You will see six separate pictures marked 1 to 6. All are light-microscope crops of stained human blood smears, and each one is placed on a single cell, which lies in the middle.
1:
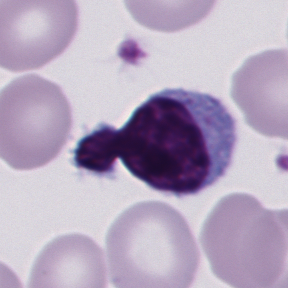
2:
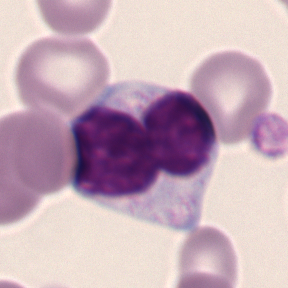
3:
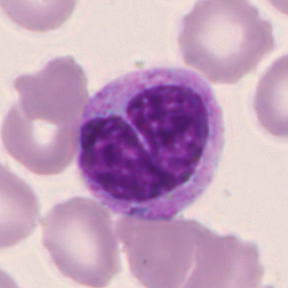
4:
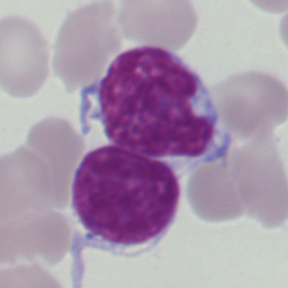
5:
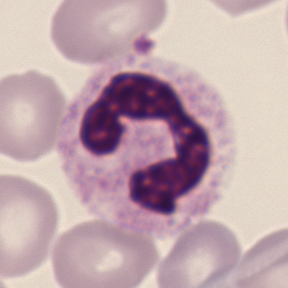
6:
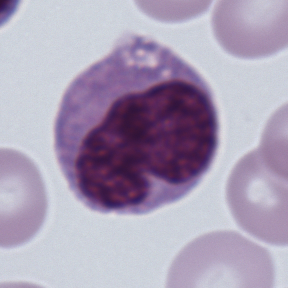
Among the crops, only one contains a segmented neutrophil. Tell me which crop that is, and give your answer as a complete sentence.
In this series, a segmented neutrophil is shown by crop 5.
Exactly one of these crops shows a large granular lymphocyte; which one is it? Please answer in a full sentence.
Crop 2 is the crop that shows a large granular lymphocyte in its middle.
